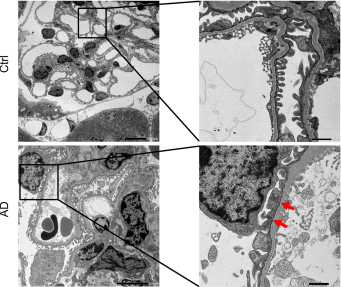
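Low-power electron micrographs show a glomerular tuft with open capillary loops, some holding dark red blood cells, bounded by thin walls on whose outer side lie cells with large dark nuclei. At higher power the thin filtration membrane is seen with a row of small foot-like processes resting on it; in one enlargement red arrows point to spots along this row. These are podocytes of the glomerulus with their foot processes on the capillary wall.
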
